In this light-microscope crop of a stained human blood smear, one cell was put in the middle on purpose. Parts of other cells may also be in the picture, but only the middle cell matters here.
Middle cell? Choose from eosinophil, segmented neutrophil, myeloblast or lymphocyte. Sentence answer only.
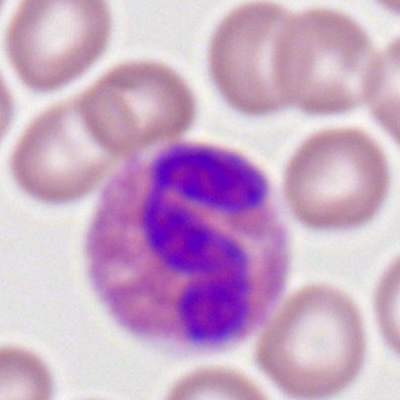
The cell at the middle of the frame should be recorded as an eosinophil.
